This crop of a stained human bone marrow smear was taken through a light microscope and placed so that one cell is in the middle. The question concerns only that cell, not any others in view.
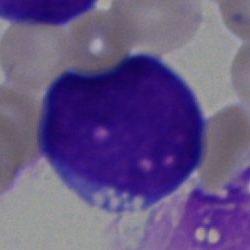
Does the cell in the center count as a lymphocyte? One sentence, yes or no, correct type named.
No, instead of being a lymphocyte, the middle cell is a blast.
